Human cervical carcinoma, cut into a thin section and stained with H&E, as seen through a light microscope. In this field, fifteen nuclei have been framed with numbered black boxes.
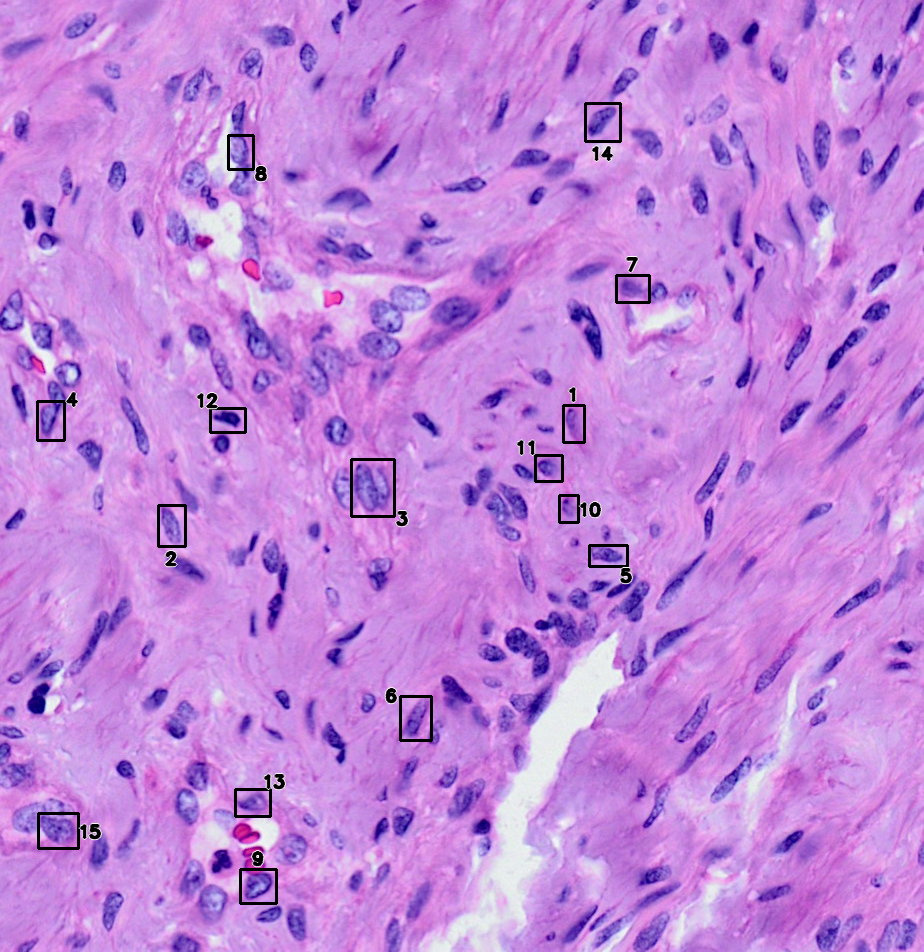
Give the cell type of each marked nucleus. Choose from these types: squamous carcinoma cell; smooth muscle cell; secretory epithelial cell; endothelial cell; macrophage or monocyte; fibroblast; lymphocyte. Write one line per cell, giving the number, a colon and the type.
1: smooth muscle cell
2: fibroblast
3: endothelial cell
4: endothelial cell
5: fibroblast
6: smooth muscle cell
7: endothelial cell
8: endothelial cell
9: endothelial cell
10: smooth muscle cell
11: smooth muscle cell
12: lymphocyte
13: endothelial cell
14: fibroblast
15: endothelial cell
